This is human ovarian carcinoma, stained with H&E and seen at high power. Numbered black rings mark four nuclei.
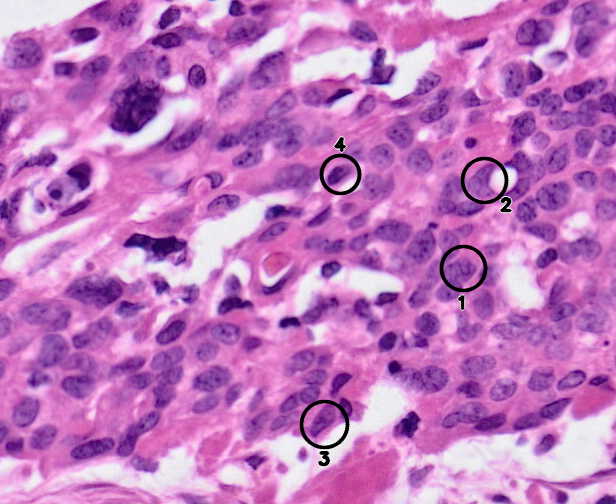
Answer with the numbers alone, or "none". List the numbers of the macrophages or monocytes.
4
